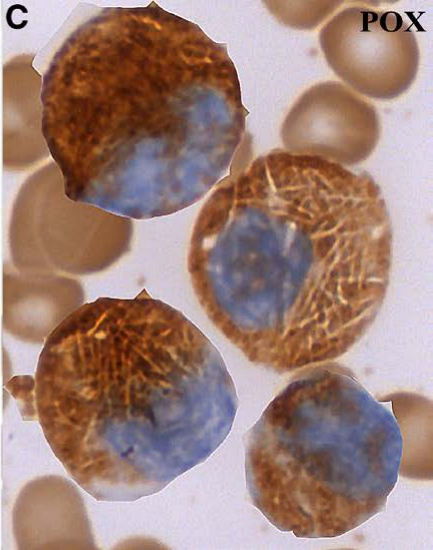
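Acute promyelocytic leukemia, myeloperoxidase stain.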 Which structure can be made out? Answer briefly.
Relatively unstained rod-like structures.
